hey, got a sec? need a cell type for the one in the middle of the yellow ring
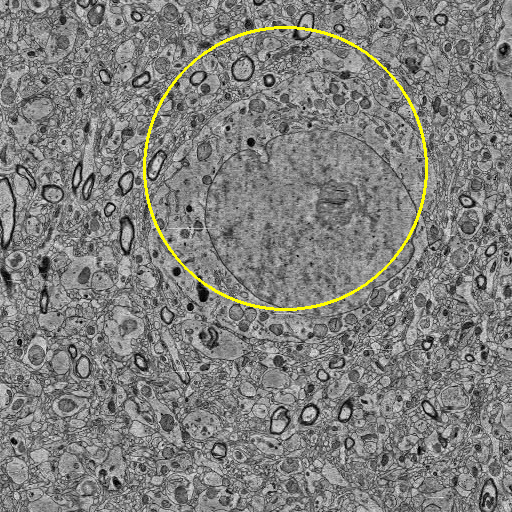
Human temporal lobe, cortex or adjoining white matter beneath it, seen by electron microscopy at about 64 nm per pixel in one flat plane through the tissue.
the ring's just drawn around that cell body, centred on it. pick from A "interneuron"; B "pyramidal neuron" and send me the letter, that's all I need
A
